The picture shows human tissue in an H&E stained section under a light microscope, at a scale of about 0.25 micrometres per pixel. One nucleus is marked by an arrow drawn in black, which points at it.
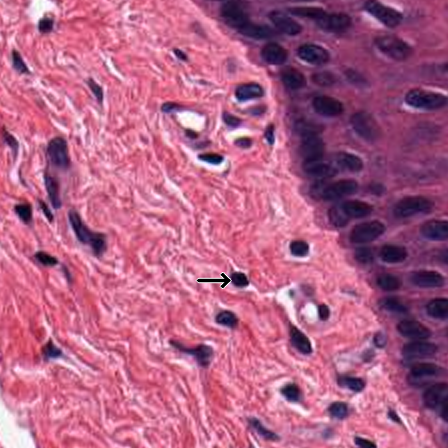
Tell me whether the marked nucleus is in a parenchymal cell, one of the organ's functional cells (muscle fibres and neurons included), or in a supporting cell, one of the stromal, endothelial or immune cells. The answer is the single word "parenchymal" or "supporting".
supporting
